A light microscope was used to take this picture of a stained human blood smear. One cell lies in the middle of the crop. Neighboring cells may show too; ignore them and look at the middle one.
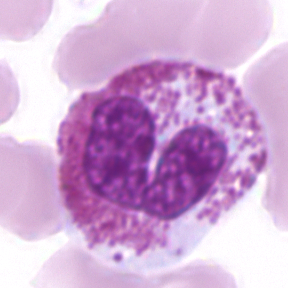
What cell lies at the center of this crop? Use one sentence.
For this crop, the central cell is an eosinophil.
